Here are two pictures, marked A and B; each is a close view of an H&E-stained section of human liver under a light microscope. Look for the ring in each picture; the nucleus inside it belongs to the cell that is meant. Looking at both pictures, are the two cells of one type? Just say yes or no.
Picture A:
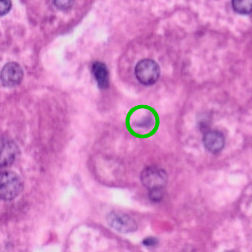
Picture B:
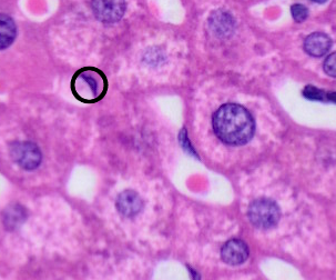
yes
